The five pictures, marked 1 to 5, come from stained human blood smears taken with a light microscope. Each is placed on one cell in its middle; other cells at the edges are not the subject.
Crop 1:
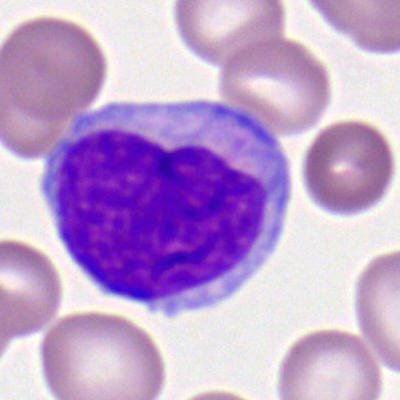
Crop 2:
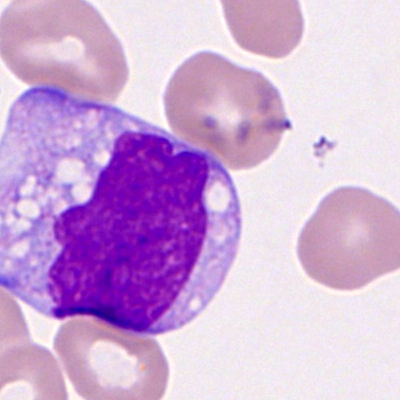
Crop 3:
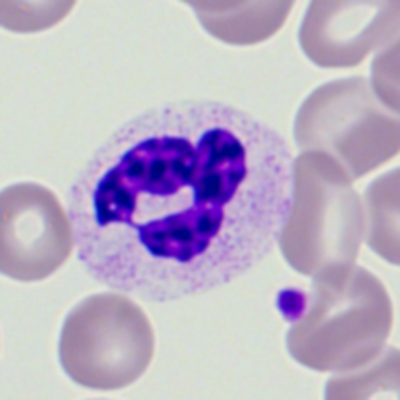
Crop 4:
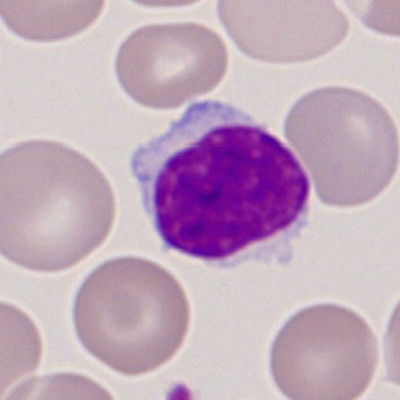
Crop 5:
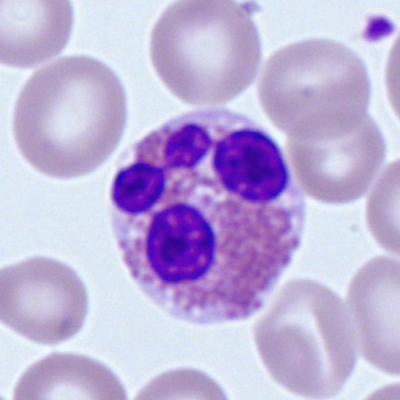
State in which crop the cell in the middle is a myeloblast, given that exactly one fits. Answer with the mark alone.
1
